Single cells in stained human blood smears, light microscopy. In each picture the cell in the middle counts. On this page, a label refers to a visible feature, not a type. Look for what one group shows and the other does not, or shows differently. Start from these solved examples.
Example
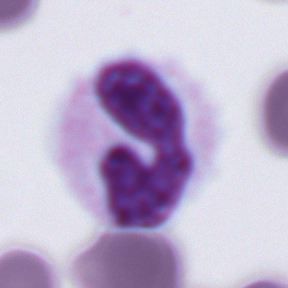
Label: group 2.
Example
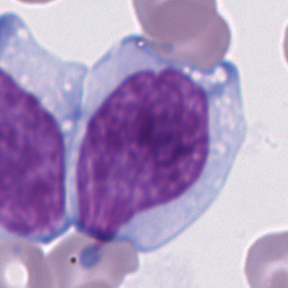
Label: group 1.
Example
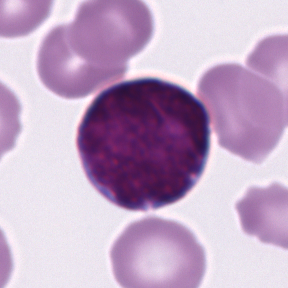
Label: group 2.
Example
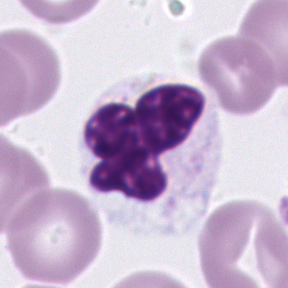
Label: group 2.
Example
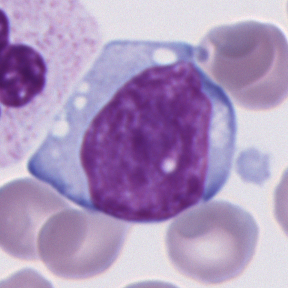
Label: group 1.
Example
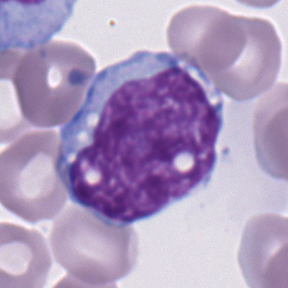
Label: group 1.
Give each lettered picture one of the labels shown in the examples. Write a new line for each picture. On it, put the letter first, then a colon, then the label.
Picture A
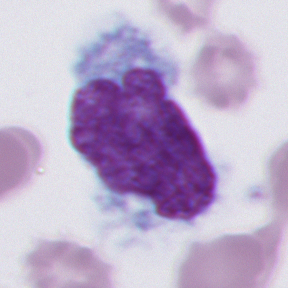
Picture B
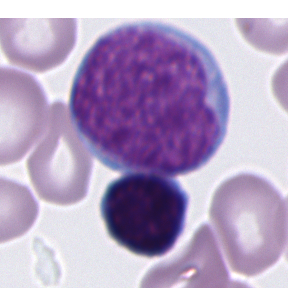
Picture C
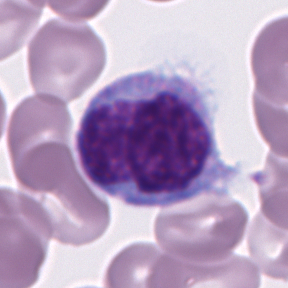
A: group 2.
B: group 2.
C: group 2.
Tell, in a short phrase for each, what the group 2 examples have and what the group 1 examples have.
group 2, no vacuoles; group 1, vacuoles present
